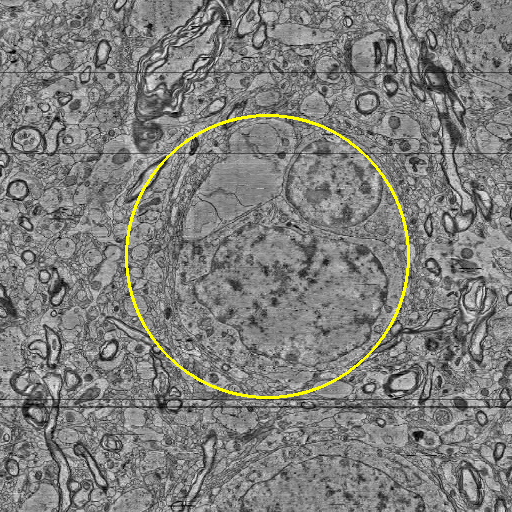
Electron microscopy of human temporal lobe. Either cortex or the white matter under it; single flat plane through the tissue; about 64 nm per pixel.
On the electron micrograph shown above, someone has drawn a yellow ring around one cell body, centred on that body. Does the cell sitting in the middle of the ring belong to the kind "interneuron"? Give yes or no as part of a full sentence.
Yes, the cell located in the middle of the ring in the micrograph is of that kind.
